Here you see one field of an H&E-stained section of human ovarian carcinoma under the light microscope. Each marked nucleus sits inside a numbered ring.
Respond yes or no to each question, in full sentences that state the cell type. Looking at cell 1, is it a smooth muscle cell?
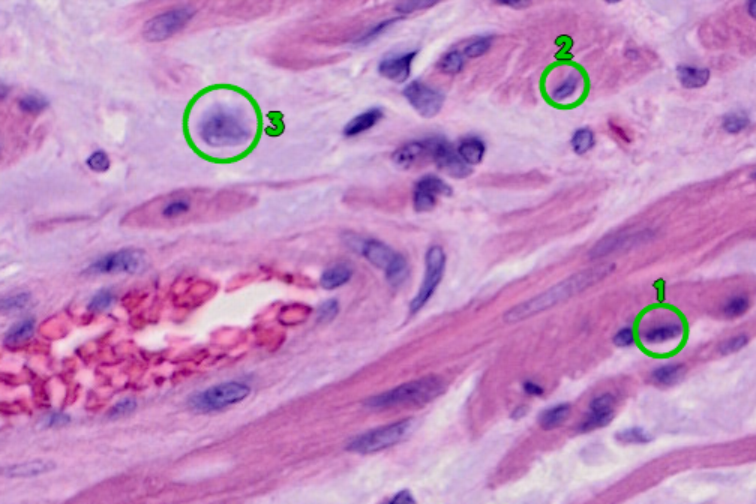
Yes, what number 1 marks is a smooth muscle cell.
